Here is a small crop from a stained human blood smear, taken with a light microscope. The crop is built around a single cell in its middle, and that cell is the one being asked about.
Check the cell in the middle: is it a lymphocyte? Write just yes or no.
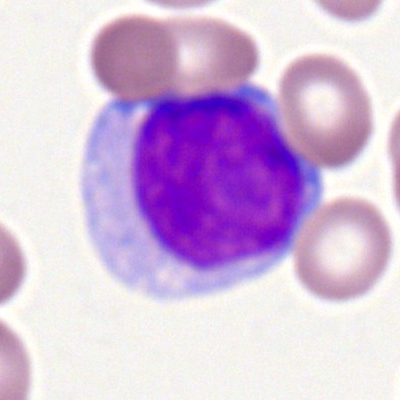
no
